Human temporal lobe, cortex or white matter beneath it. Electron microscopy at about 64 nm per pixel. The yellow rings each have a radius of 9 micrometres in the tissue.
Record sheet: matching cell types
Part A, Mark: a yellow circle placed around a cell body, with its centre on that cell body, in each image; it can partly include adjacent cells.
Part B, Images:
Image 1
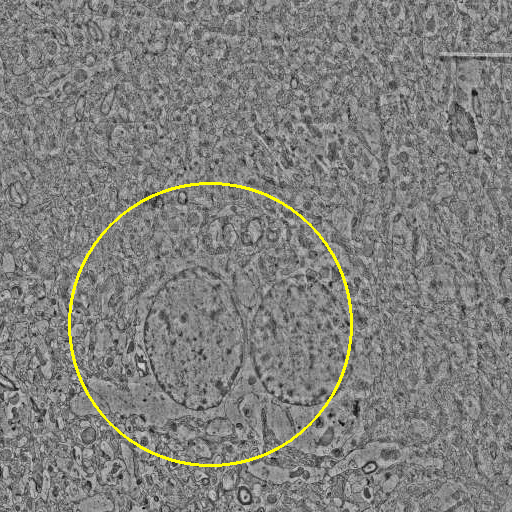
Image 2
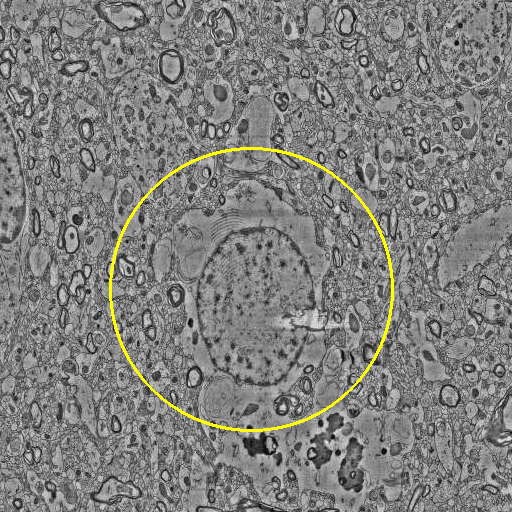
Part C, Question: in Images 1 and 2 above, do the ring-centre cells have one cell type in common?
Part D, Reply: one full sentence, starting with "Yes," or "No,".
Yes, the ring-centre cells of Image 1 and Image 2 are both of a single cell type.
